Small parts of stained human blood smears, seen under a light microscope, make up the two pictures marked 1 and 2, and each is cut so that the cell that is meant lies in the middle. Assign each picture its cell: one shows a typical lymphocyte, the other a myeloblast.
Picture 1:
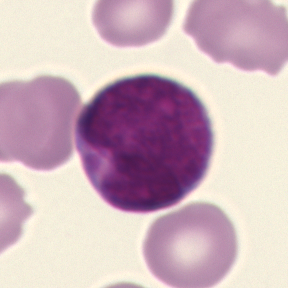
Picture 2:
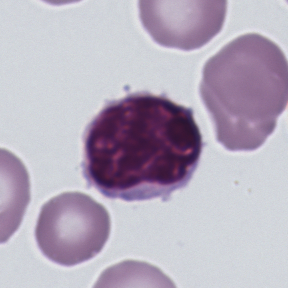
1: myeloblast
2: typical lymphocyte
